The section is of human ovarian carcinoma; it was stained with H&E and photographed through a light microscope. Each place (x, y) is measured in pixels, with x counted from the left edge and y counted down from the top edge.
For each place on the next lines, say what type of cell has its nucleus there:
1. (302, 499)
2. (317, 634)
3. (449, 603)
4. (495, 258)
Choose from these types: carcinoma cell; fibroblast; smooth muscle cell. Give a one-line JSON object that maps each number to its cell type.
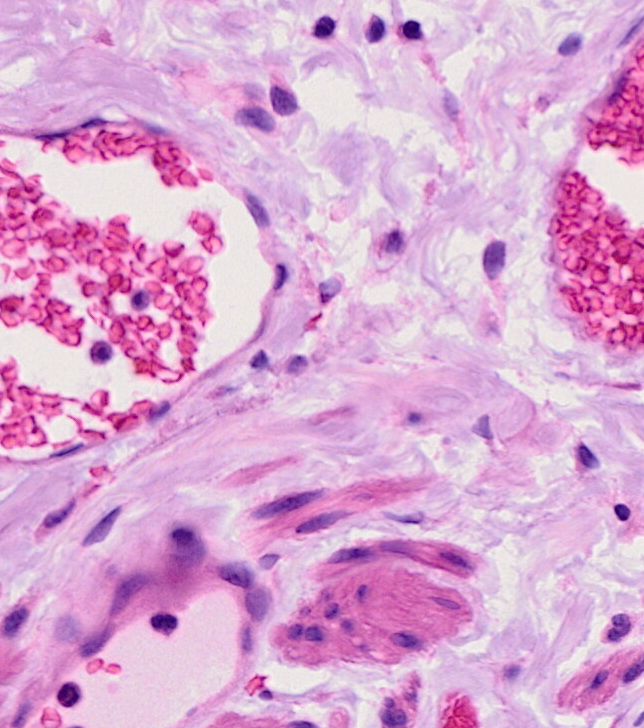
{"1": "smooth muscle cell", "2": "smooth muscle cell", "3": "smooth muscle cell", "4": "fibroblast"}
